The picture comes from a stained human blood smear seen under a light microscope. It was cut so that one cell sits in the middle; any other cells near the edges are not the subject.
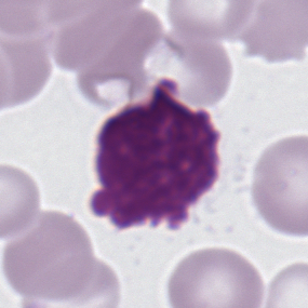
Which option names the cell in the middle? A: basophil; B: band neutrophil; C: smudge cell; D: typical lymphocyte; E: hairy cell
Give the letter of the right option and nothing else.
C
